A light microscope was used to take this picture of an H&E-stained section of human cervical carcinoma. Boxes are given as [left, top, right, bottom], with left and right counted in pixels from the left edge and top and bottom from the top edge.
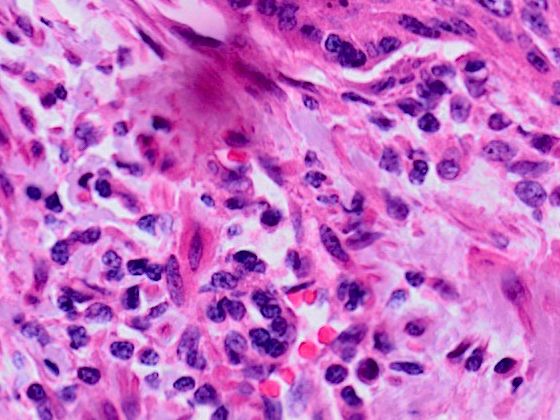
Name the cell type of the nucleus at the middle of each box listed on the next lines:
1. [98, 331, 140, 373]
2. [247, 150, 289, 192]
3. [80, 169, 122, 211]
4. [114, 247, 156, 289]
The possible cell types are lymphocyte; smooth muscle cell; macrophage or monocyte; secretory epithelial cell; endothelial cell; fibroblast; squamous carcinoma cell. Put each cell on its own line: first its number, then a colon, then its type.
1: lymphocyte
2: endothelial cell
3: lymphocyte
4: lymphocyte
